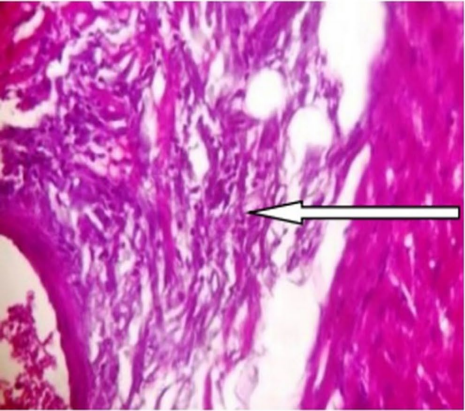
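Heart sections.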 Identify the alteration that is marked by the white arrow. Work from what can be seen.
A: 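The arrowed area is made of loose, pale purple, wavy fibrous strands. This area lacks the dense pink muscle fibres seen at the right edge of the panel. Clear rounded spaces lie within the fibrous area.
Conclusion: fibrosis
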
